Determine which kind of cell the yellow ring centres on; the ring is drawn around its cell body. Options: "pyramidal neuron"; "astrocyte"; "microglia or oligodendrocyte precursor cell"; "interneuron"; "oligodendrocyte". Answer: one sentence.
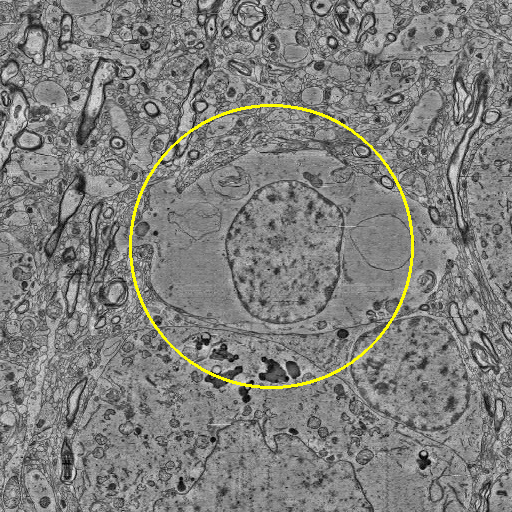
The ring centres on an astrocyte.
